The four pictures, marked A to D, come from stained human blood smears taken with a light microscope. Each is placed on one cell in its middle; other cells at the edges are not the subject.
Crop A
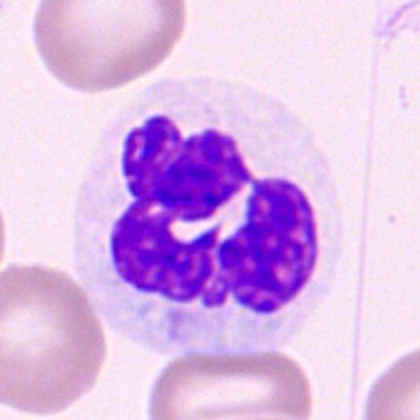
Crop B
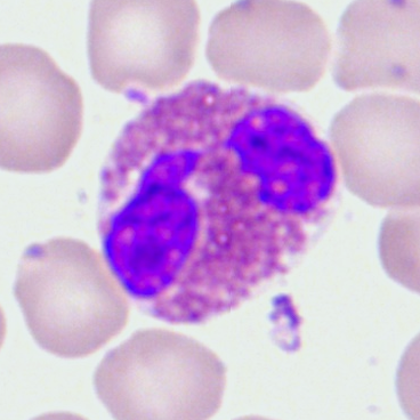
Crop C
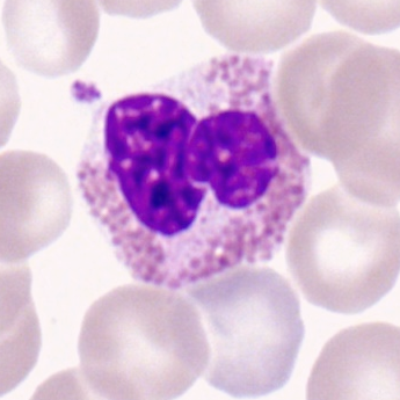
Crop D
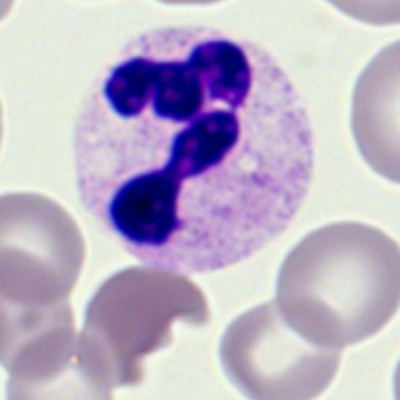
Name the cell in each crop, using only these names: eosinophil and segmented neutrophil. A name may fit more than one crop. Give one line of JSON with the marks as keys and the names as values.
{"A": "segmented neutrophil", "B": "eosinophil", "C": "eosinophil", "D": "segmented neutrophil"}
